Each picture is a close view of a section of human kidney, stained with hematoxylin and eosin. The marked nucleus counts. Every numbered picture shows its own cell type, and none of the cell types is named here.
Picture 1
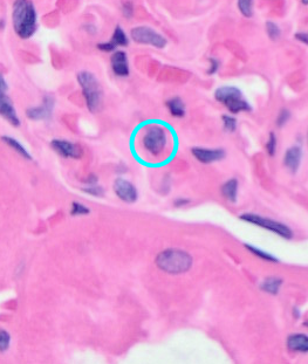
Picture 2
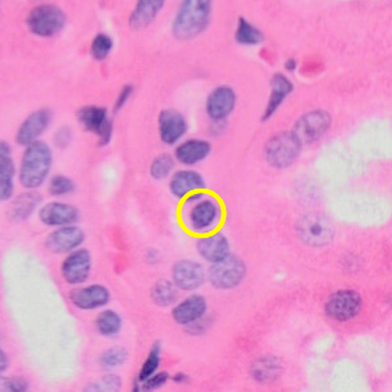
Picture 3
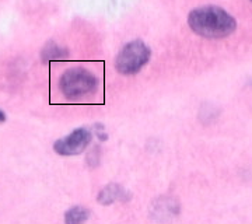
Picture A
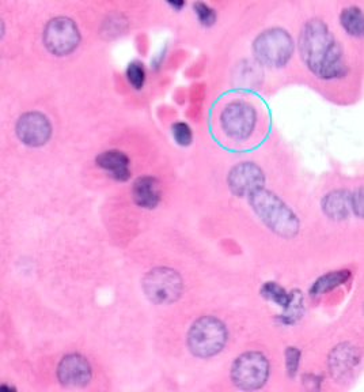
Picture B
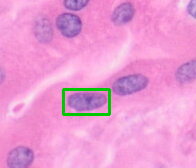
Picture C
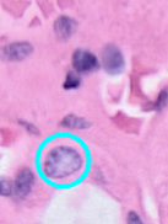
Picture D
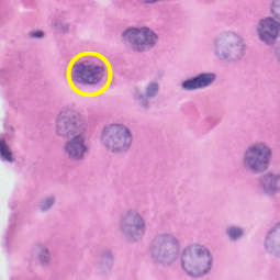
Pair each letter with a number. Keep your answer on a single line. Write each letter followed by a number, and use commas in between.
A 2, B 3, C 2, D 3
